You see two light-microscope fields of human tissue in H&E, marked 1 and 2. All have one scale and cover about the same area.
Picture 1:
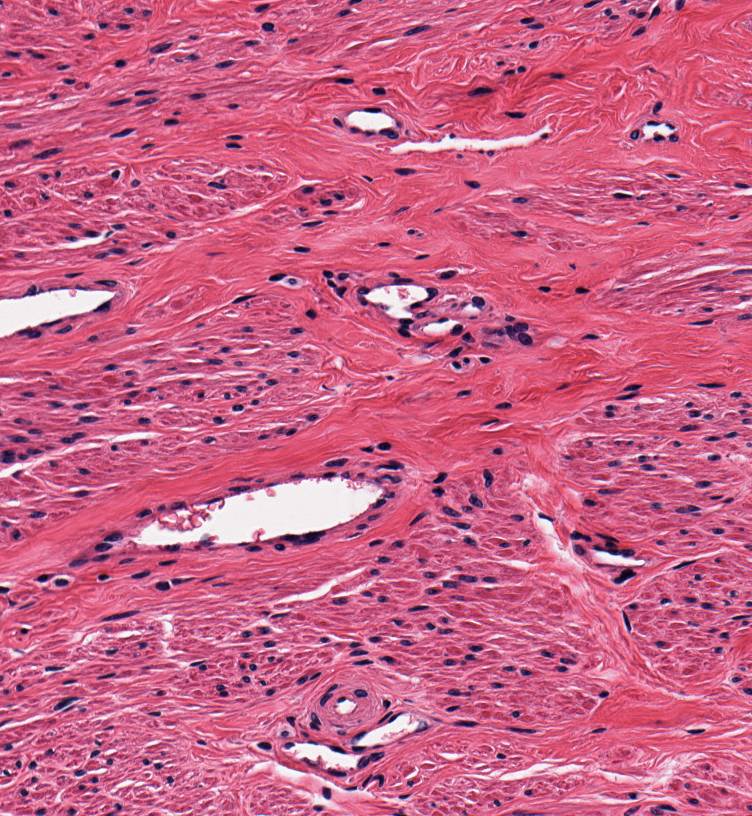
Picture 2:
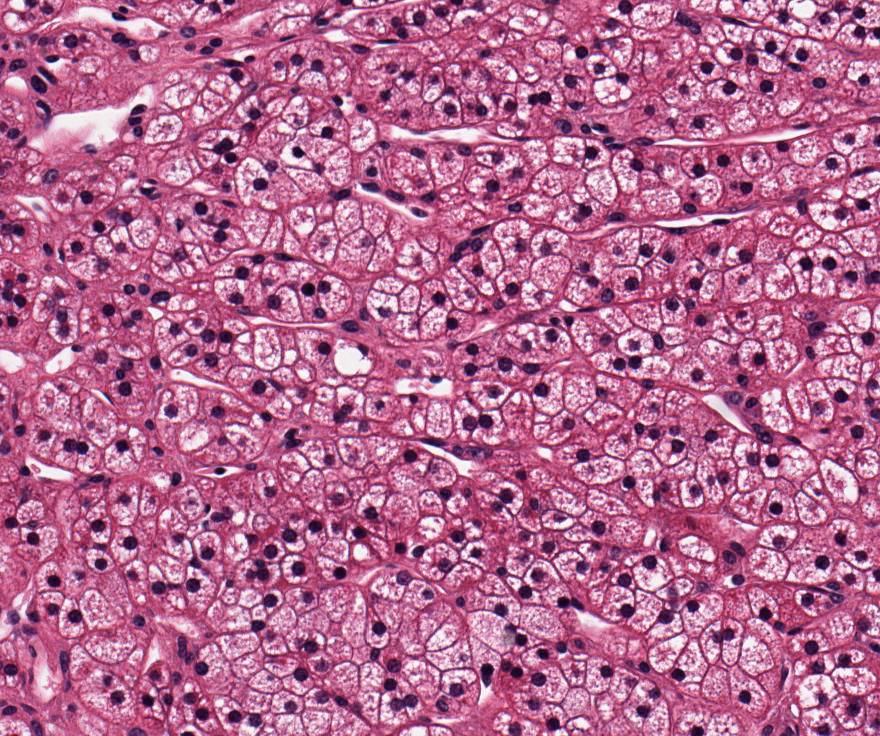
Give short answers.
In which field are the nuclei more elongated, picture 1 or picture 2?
1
